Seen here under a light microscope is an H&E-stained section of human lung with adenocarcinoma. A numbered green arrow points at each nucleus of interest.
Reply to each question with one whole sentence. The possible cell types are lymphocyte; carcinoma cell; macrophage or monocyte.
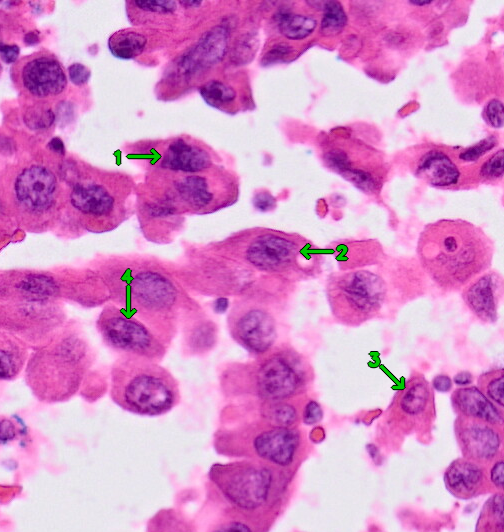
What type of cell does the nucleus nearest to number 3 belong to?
The cell nearest to number 3 is a lymphocyte.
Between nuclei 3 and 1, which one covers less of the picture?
With nucleus 1 about 2 times its size, nucleus 3 is the smaller of the two.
